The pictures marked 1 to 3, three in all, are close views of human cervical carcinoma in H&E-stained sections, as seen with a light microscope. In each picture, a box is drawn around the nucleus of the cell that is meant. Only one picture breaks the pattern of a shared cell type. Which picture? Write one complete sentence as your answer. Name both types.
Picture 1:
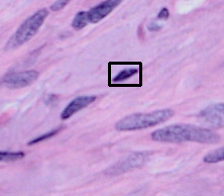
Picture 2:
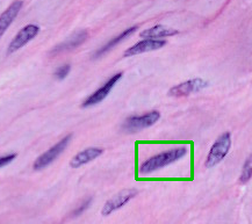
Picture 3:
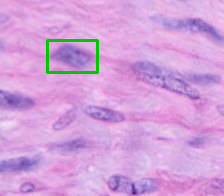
The others show fibroblasts, but picture 3 shows a smooth muscle cell.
